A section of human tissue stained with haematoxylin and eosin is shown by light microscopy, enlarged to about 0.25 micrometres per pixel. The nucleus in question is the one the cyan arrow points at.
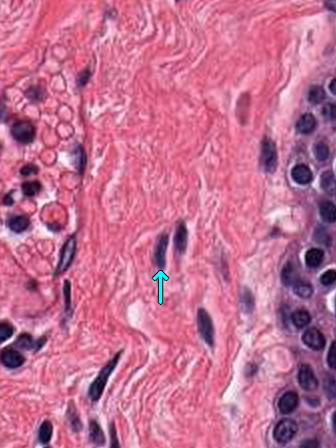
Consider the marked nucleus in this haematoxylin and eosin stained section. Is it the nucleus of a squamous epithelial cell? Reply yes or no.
no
